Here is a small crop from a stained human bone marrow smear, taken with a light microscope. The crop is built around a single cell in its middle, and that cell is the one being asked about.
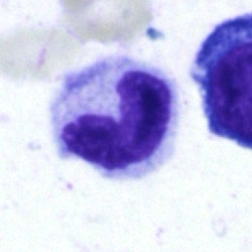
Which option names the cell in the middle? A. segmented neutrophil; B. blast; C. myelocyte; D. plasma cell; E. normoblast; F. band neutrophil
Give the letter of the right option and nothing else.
F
